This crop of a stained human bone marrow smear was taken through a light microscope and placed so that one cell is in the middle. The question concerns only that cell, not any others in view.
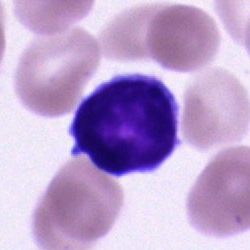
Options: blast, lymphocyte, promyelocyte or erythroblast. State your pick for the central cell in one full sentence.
The centered cell in this crop is a lymphocyte.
